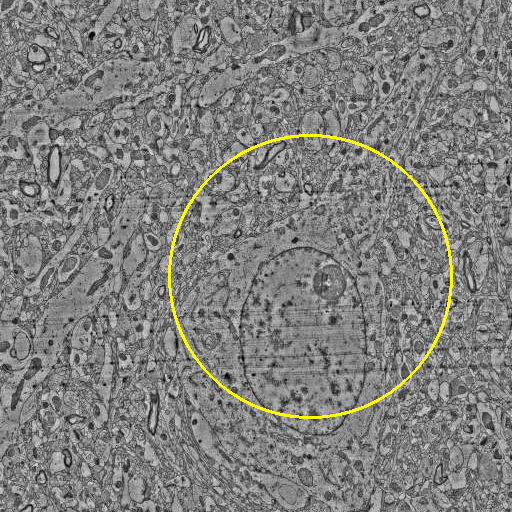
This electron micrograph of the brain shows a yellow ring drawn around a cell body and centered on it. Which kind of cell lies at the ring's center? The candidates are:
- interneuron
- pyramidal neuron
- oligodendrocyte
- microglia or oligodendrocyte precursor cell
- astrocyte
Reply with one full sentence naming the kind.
The cell lying at the ring's center in this micrograph is a pyramidal neuron.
